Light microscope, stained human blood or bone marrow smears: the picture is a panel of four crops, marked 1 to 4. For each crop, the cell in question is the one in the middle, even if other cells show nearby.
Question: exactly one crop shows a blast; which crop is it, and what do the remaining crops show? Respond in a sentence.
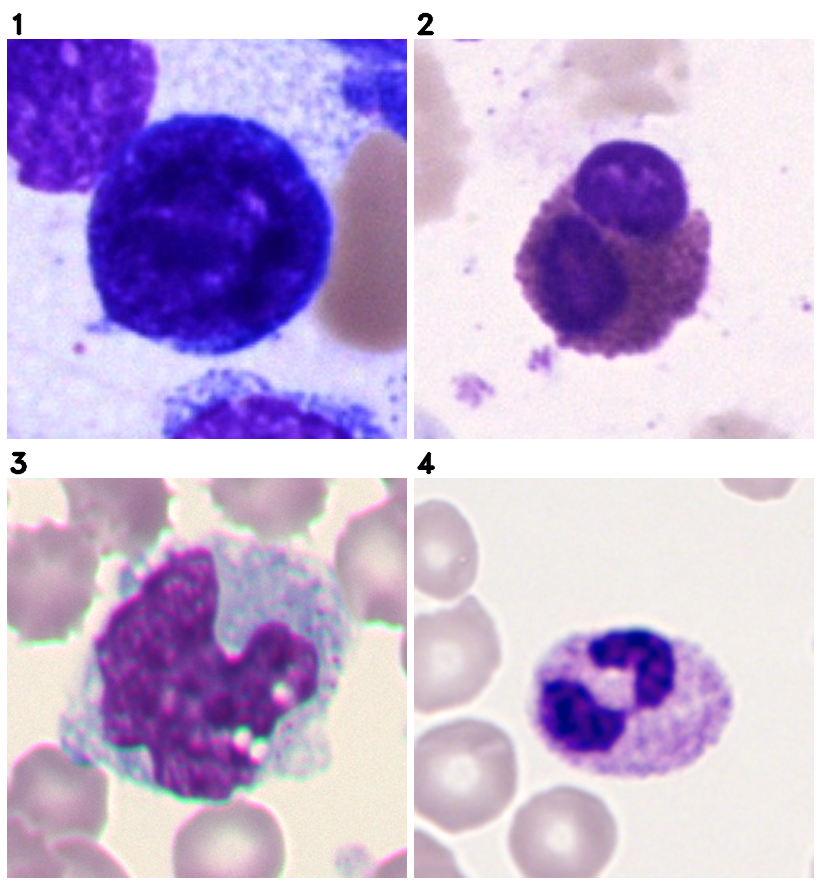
Crop 1 features a blast, while crop 2 is an eosinophil, crop 3 is a monocyte and crop 4 is a segmented neutrophil.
